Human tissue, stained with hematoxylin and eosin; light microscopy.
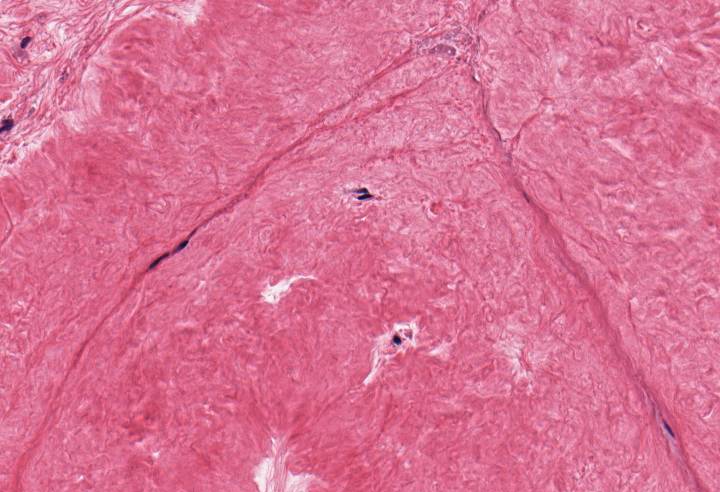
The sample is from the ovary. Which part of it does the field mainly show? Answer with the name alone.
corpus albicans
